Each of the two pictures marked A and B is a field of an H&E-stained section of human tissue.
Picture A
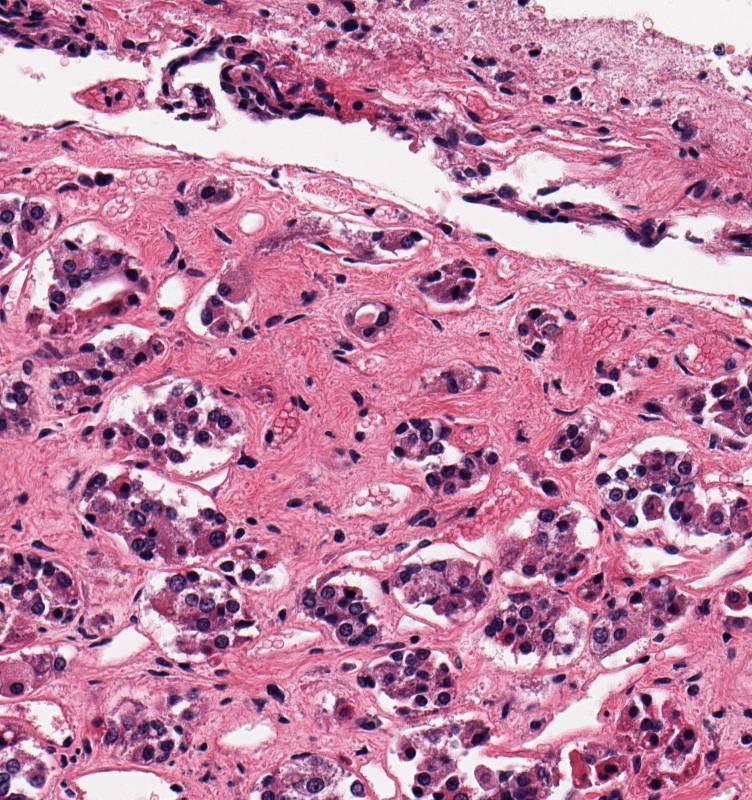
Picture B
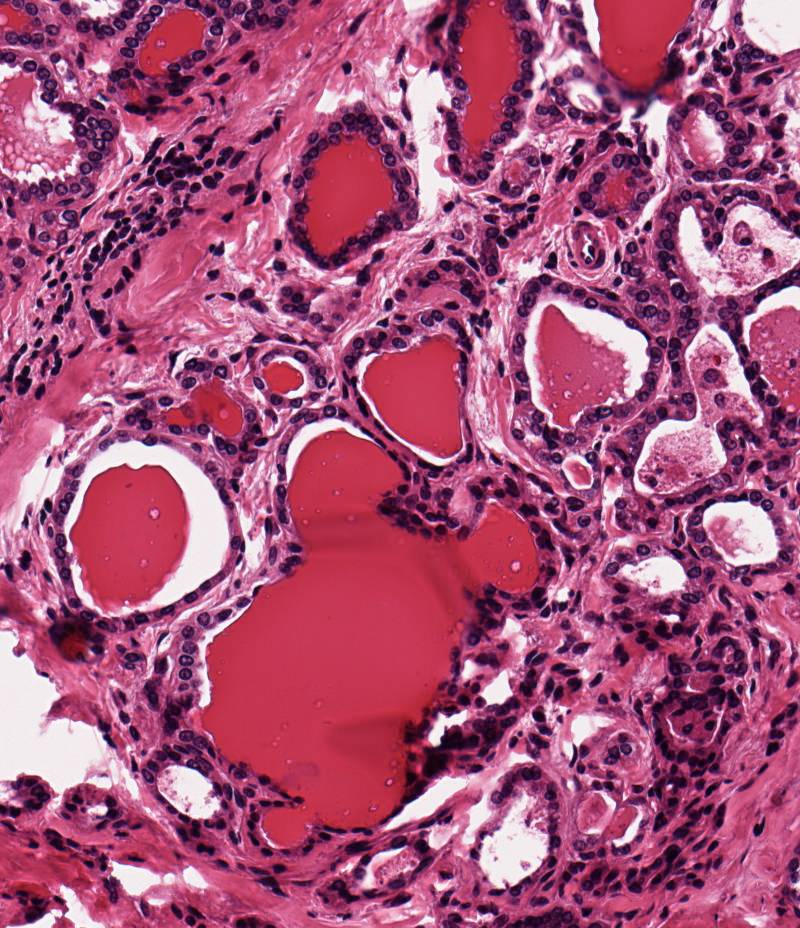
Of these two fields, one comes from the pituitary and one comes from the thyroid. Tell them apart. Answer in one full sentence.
It is picture A that comes from the pituitary, and picture B that comes from the thyroid.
